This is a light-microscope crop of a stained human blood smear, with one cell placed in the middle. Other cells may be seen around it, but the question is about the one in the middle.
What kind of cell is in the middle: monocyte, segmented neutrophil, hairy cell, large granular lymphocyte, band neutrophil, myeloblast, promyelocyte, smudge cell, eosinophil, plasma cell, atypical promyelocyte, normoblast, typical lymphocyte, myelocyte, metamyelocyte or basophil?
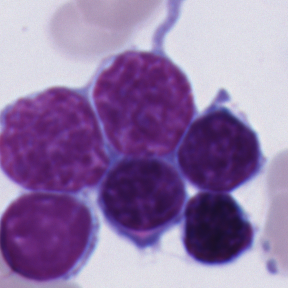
myeloblast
